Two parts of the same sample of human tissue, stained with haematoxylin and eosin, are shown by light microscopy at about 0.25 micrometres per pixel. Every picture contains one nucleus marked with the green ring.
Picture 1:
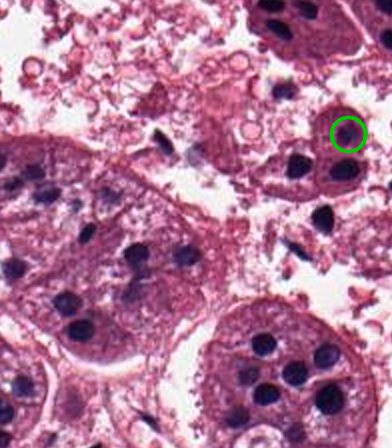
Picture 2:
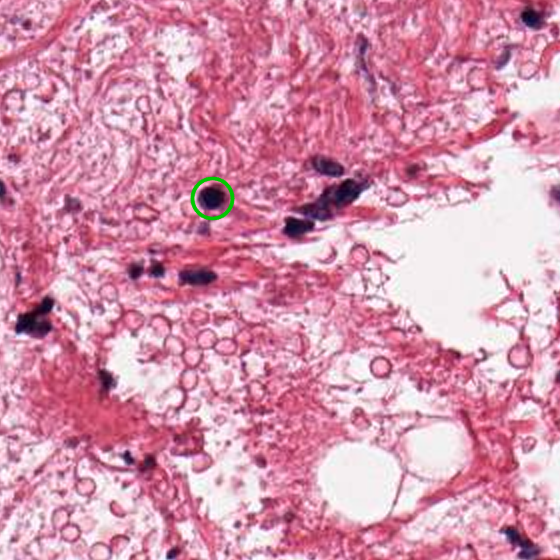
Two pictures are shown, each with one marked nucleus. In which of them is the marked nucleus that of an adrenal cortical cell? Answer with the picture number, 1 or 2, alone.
1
